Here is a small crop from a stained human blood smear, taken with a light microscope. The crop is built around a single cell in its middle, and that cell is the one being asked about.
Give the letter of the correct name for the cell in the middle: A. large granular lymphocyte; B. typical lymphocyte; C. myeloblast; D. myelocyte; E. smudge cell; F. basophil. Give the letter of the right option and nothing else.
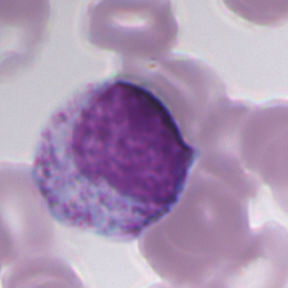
D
